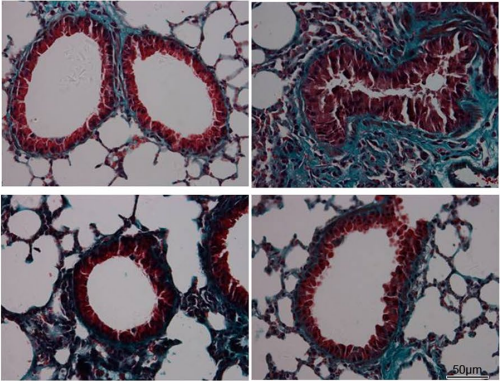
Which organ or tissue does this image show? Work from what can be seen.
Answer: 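Small airway. The tubes are surrounded by thin-walled air spaces.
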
